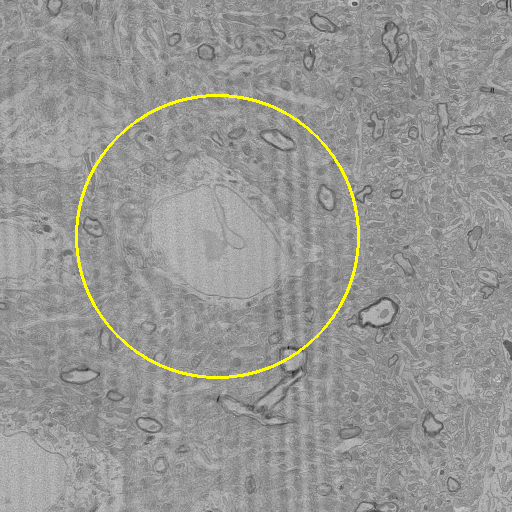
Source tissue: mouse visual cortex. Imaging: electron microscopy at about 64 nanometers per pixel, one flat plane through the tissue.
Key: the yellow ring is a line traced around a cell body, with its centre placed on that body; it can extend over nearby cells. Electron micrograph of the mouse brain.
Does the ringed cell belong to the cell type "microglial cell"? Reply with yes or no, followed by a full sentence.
No, the cell at the centre of the yellow ring in the picture is of another type.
